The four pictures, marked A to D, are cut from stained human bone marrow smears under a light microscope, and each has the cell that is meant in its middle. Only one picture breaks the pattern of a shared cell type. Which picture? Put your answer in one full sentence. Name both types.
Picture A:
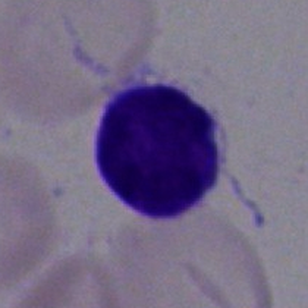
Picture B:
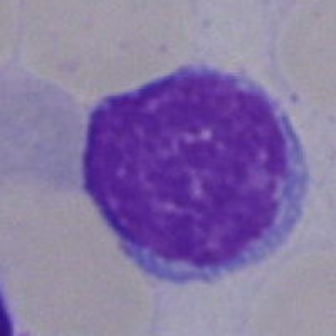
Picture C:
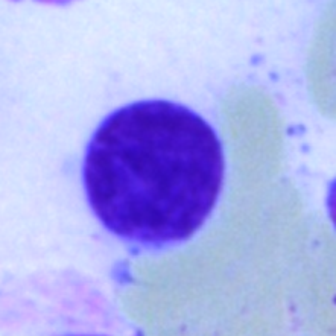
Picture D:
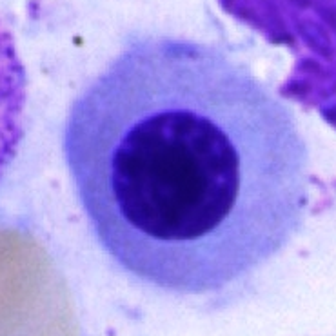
Unlike the rest, which show lymphocytes, picture D shows an erythroblast.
